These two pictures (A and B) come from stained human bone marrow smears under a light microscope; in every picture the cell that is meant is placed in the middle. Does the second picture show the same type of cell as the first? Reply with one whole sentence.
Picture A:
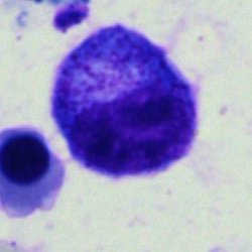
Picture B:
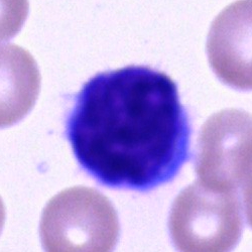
No, picture A shows a promyelocyte and picture B shows a lymphocyte.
